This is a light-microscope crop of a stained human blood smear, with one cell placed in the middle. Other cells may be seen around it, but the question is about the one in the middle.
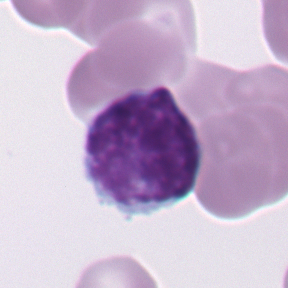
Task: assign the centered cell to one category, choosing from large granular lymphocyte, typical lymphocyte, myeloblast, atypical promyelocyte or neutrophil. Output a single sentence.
Centrally within this crop lies a typical lymphocyte.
